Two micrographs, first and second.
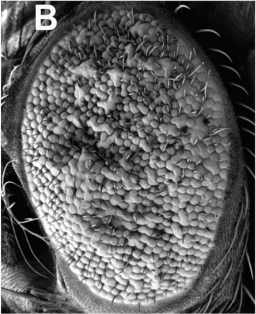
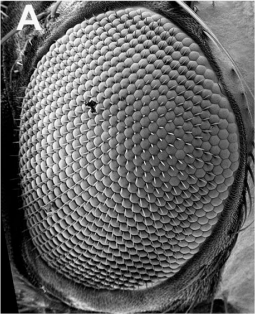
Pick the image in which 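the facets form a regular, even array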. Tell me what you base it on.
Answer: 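The second image. First image: facets are irregular, many fused or collapsed, lattice disrupted. Second image: uniform facets in an orderly hexagonal array across the eye.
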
